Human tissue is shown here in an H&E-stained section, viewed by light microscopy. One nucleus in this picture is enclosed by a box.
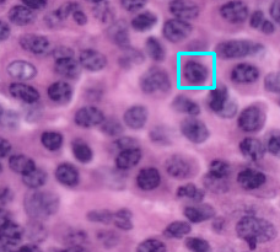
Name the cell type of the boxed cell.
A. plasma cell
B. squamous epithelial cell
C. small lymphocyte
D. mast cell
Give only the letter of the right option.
A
